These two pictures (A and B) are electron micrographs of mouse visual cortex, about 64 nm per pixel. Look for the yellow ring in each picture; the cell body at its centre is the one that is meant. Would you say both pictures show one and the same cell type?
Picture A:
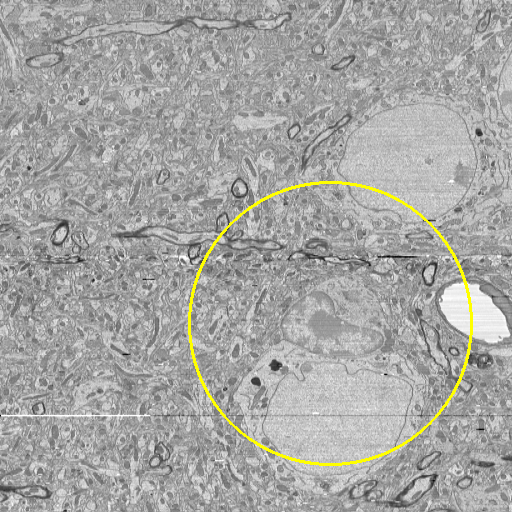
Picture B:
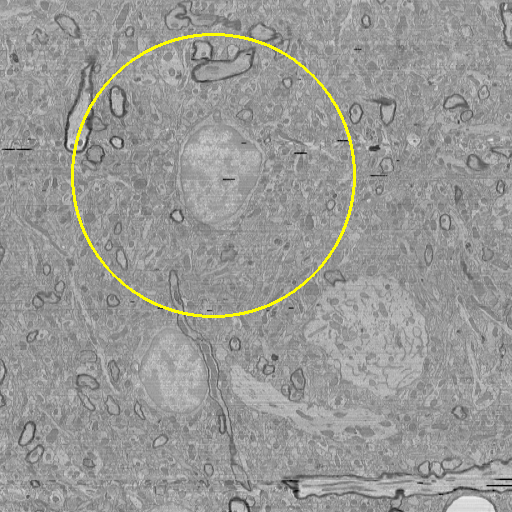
Yes, both are oligodendrocytes.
